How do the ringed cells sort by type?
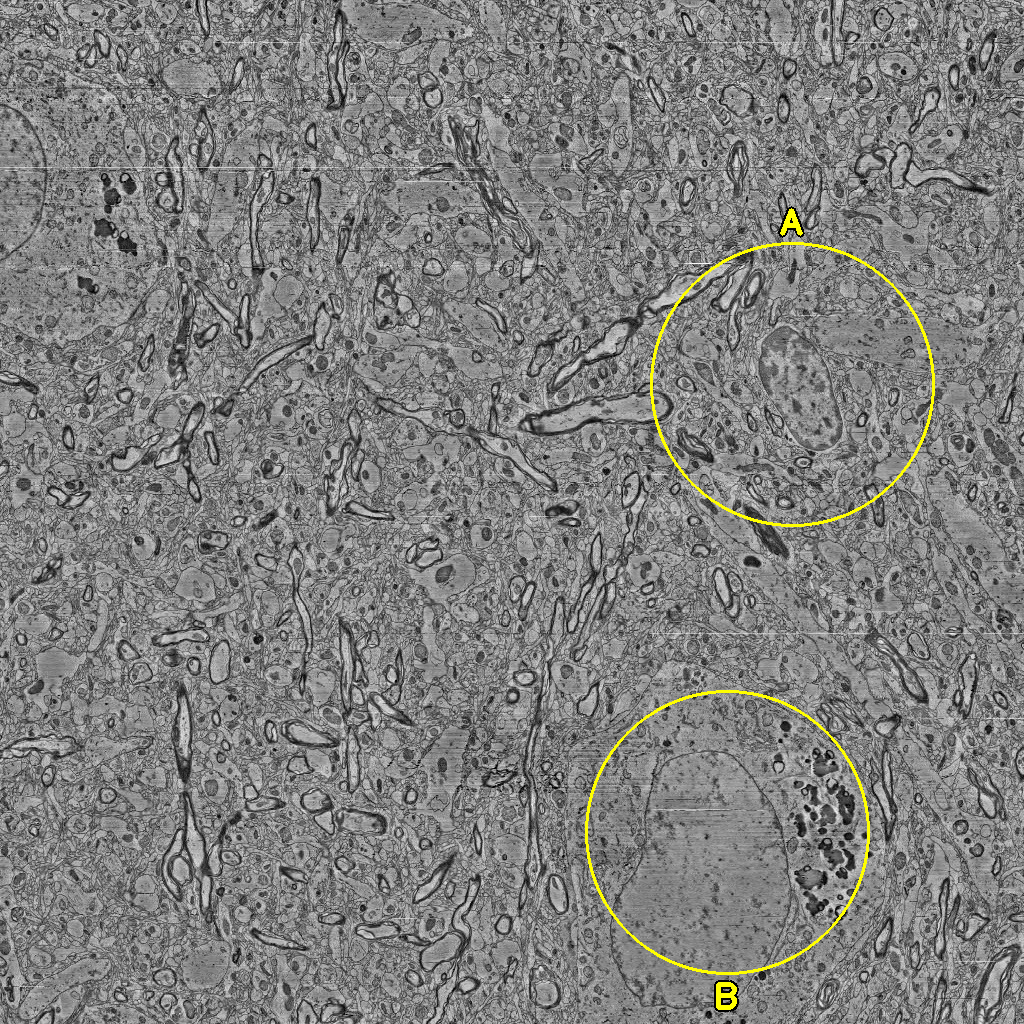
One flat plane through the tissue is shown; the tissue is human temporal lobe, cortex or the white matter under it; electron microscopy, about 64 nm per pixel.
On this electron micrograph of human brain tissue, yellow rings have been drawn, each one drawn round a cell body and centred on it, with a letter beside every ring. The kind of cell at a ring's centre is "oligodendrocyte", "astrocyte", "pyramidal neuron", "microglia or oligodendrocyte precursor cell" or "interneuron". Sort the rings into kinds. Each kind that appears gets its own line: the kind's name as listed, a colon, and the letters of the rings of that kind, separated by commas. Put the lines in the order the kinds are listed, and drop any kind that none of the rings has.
pyramidal neuron: B
microglia or oligodendrocyte precursor cell: A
